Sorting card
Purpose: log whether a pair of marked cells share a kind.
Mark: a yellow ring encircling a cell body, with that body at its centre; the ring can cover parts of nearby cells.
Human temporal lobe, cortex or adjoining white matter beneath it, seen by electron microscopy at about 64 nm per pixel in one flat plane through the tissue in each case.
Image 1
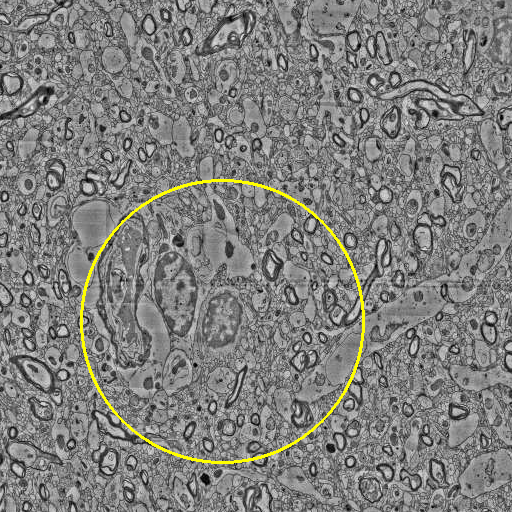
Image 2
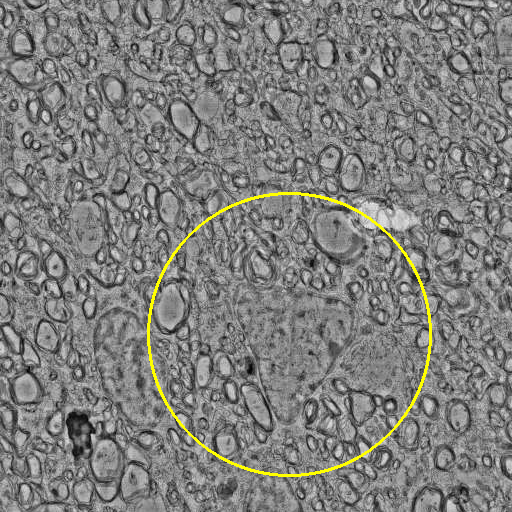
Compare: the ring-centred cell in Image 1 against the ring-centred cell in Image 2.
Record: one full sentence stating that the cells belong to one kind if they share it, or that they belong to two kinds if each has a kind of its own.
Across Images 1 and 2, the two ring-centred cells belong to two kinds.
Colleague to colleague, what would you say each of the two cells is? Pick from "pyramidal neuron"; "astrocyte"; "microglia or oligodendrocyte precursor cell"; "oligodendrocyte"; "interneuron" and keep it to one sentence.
The cell in the first picture is an oligodendrocyte; the second picture's cell is a microglial cell or oligodendrocyte precursor cell.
